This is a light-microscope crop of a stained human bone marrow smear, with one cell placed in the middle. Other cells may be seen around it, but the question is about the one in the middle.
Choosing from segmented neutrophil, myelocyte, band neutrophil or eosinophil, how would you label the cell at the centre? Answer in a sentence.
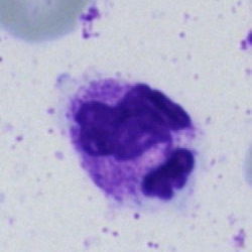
The middle of this crop is occupied by a segmented neutrophil.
